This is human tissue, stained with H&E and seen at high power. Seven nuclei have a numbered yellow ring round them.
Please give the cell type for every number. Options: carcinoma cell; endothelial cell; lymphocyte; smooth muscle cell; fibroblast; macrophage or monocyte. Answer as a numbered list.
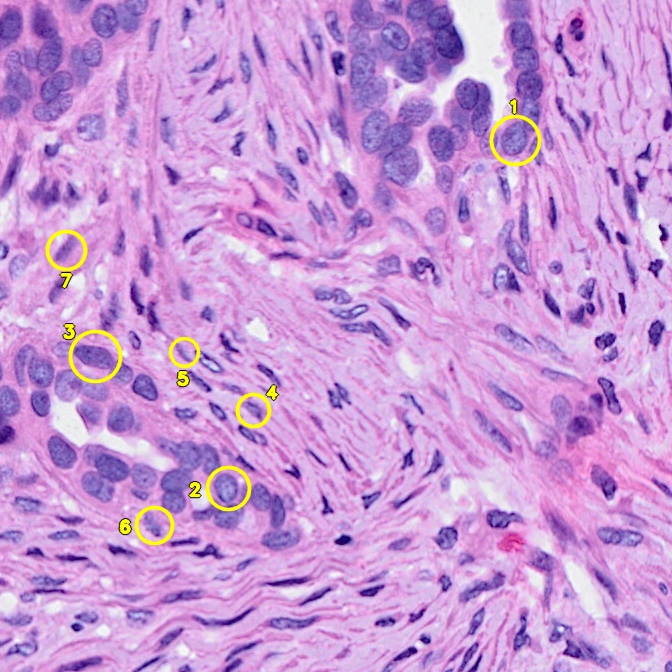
1. carcinoma cell
2. carcinoma cell
3. carcinoma cell
4. fibroblast
5. fibroblast
6. fibroblast
7. fibroblast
